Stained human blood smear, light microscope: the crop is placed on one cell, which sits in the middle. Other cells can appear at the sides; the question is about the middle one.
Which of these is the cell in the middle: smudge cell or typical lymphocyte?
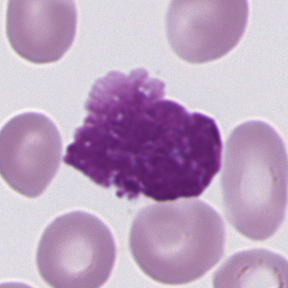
smudge cell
